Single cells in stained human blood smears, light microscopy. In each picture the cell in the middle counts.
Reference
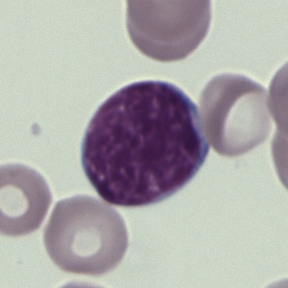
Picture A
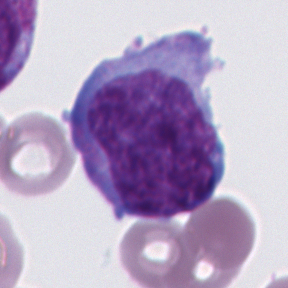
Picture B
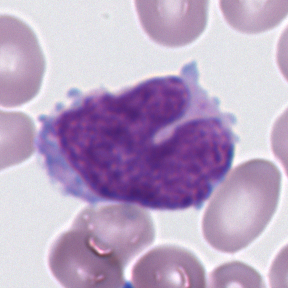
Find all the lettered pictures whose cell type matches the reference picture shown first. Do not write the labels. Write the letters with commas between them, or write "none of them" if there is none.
none of them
